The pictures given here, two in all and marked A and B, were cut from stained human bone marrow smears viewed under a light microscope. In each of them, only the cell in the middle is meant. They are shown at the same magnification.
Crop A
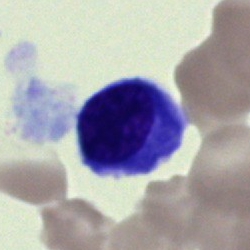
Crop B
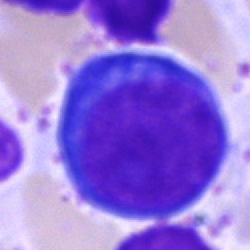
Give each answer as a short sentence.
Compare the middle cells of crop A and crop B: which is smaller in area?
Smaller is the cell in crop A, and the other is about 2.5 times as large in area.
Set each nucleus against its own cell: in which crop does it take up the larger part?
It is the cell in crop B that is filled more by its nucleus.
